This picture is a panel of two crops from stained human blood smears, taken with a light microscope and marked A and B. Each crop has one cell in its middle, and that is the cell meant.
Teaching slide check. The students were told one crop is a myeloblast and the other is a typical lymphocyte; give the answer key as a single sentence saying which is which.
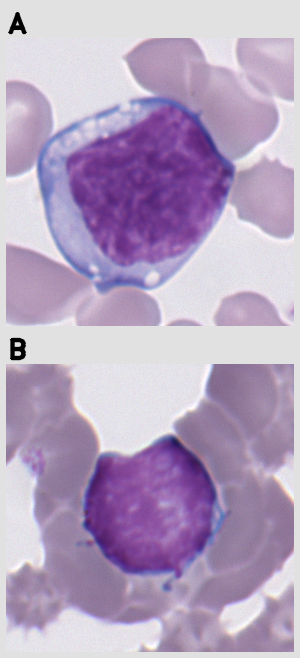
In crop A, a myeloblast is present; in crop B, a typical lymphocyte is present.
